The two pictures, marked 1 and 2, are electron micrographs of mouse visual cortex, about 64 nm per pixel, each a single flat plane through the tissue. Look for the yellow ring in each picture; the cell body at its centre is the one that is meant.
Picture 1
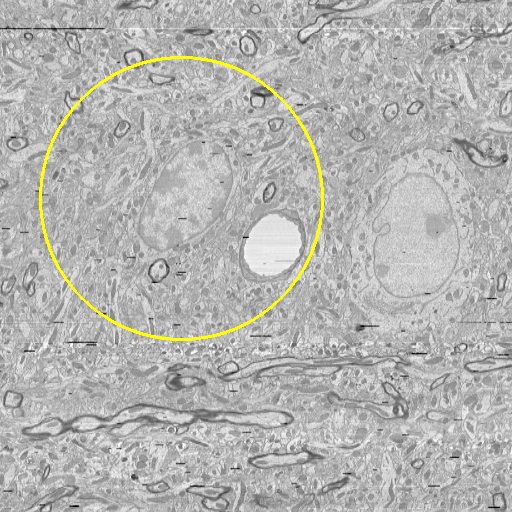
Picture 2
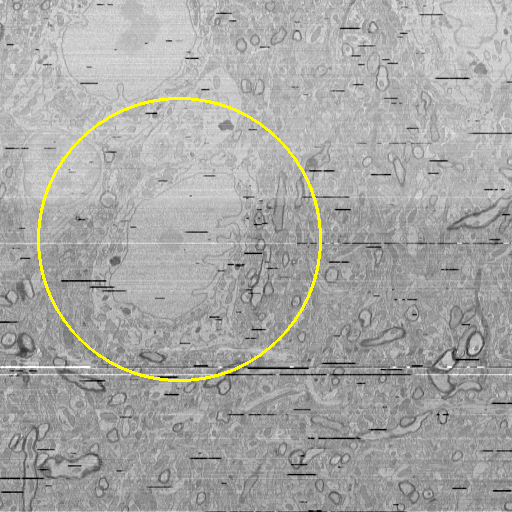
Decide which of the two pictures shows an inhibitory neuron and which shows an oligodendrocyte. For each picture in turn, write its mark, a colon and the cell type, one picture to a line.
1: oligodendrocyte
2: inhibitory neuron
